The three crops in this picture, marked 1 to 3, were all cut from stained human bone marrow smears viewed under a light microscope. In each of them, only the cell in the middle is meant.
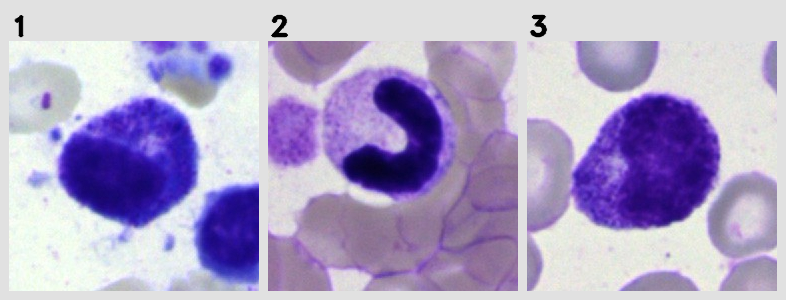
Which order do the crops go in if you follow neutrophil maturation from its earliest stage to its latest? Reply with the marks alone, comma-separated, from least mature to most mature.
1, 3, 2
